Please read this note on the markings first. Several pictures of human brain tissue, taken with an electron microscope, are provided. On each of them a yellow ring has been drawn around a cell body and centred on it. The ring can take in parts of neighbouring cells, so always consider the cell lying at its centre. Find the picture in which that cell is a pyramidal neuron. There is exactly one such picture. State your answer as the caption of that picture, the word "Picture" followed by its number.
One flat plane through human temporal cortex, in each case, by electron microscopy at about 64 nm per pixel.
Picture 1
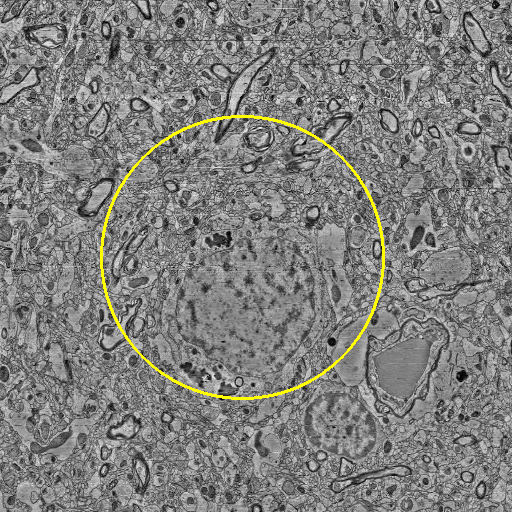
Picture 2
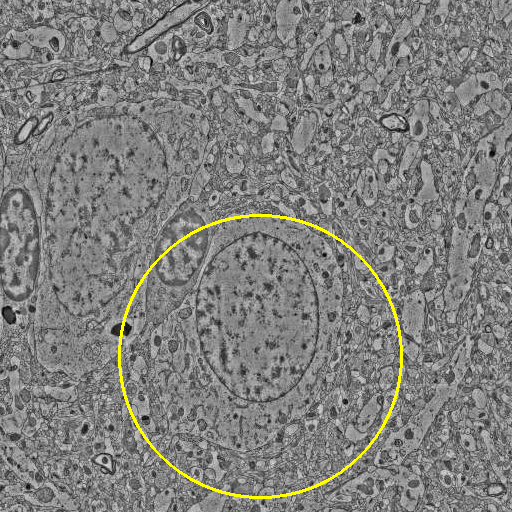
Picture 2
